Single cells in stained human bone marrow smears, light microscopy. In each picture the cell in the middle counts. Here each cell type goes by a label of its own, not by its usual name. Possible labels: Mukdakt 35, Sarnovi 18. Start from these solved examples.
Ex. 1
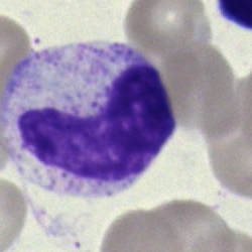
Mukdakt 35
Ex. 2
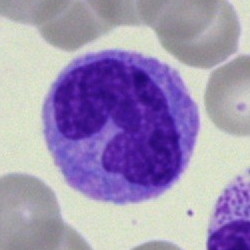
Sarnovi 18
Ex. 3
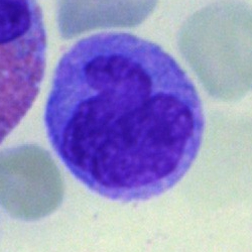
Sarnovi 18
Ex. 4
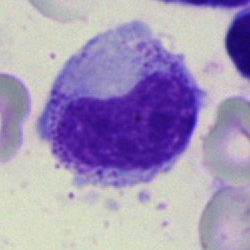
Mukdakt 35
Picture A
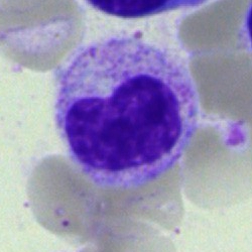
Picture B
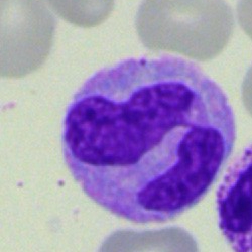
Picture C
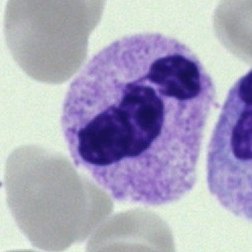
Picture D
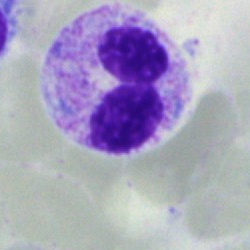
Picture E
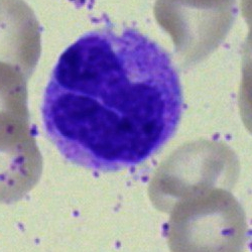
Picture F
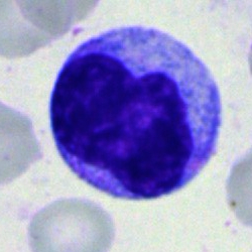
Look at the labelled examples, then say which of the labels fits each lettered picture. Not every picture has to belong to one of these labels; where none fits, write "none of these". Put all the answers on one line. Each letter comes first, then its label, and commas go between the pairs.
A Mukdakt 35, B Sarnovi 18, C none of these, D none of these, E Mukdakt 35, F Sarnovi 18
